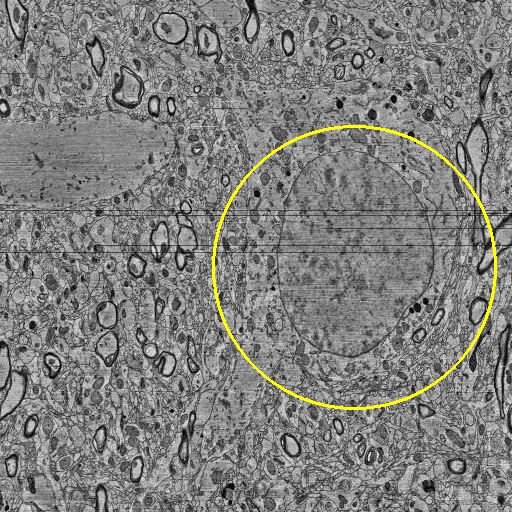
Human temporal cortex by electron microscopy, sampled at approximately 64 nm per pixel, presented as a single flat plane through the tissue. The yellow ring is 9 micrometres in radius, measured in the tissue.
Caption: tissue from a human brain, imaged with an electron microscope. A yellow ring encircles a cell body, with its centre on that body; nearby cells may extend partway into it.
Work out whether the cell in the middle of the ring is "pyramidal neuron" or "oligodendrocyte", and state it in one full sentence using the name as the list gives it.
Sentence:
In the picture, the cell that the yellow ring surrounds at its centre is a pyramidal neuron.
